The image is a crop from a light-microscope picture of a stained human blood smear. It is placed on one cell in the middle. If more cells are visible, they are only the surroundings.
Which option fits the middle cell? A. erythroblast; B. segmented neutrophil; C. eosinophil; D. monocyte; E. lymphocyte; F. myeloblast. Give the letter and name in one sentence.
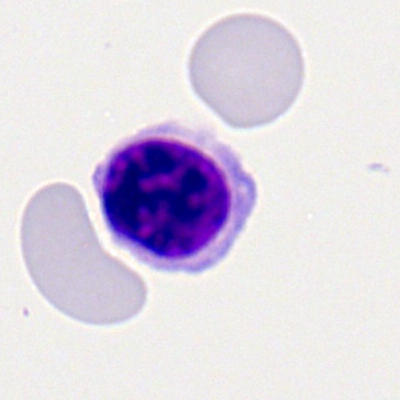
The correct option, E, names the middle cell as a lymphocyte.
